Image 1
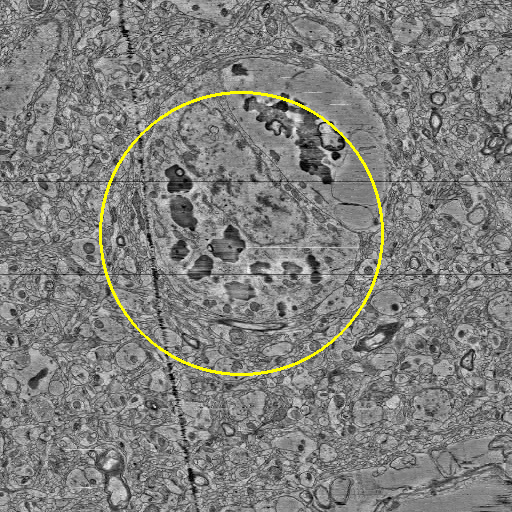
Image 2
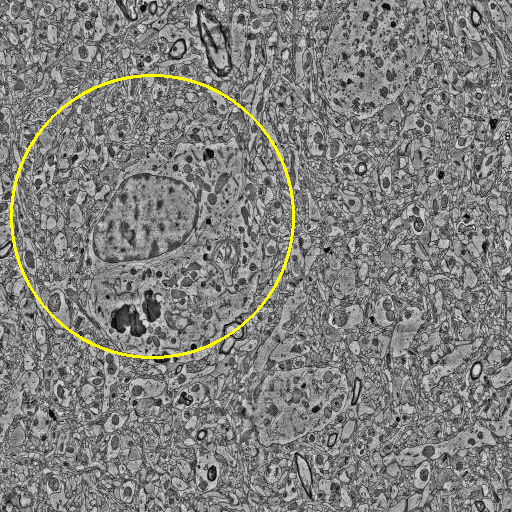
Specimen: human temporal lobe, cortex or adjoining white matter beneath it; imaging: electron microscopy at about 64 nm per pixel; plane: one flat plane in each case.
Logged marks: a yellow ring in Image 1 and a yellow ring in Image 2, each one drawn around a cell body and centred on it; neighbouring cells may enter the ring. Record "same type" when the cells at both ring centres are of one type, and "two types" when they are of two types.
two types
